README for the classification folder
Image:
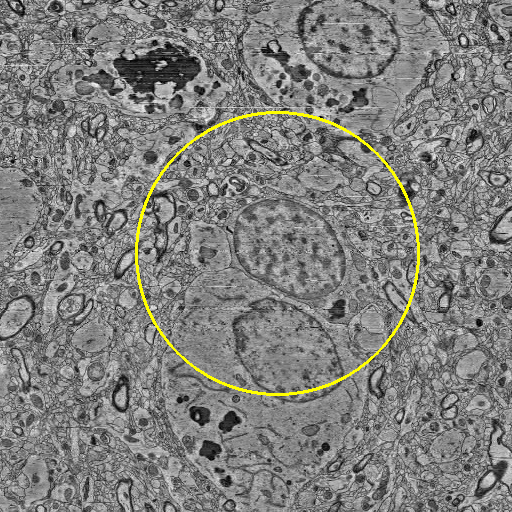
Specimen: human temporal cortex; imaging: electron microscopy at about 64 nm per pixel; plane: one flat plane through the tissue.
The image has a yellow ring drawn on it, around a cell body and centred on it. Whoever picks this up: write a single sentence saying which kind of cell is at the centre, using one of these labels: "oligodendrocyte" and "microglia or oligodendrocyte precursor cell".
This cell body is that of an oligodendrocyte.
